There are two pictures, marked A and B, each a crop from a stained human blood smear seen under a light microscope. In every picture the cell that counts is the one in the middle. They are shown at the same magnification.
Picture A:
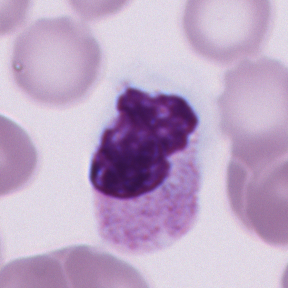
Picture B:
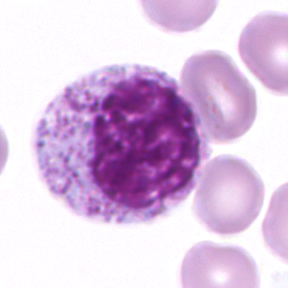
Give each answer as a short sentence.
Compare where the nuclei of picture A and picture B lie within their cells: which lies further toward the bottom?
Seen within its cell, the nucleus in picture B lies further toward the bottom.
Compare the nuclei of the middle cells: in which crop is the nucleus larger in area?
Larger is the nucleus in picture B, at roughly 1.5 times the area of the other.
